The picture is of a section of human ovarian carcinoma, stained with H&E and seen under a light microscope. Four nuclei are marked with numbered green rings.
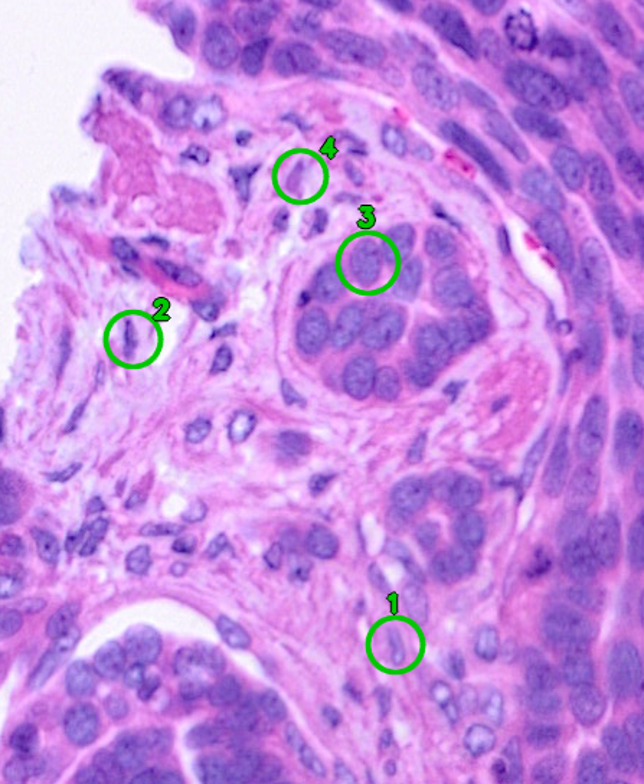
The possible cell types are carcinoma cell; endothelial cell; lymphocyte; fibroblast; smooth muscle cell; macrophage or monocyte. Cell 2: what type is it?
fibroblast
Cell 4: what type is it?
fibroblast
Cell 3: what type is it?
carcinoma cell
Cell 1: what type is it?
fibroblast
